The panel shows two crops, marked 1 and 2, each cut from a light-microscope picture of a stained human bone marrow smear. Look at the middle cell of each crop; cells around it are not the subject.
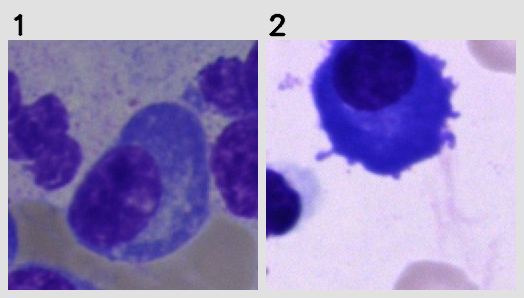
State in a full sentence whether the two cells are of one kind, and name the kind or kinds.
Yes, at the centre of both crops are plasma cells.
